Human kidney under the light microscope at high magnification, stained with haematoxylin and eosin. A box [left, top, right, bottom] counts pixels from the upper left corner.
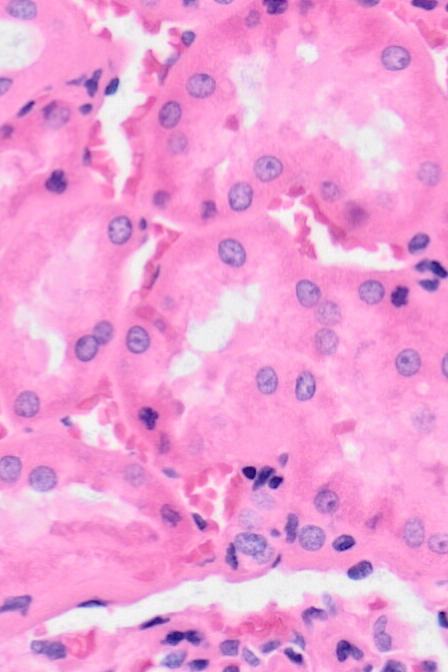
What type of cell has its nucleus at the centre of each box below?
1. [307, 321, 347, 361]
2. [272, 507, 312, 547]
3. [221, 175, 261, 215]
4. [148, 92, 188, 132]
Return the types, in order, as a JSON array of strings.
["proximal tubule cell", "collecting duct cell", "proximal tubule cell", "proximal tubule cell"]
